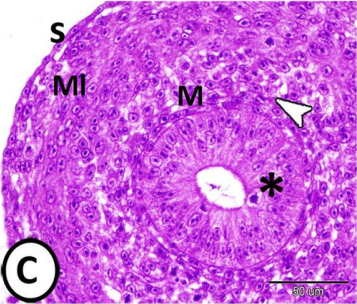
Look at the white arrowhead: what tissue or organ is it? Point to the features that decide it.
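The arrowhead points to a thin layer just outside the ring of epithelium. This layer lies between the epithelium and the outer concentric cell layers. On this evidence: lamina propria/submucosa.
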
